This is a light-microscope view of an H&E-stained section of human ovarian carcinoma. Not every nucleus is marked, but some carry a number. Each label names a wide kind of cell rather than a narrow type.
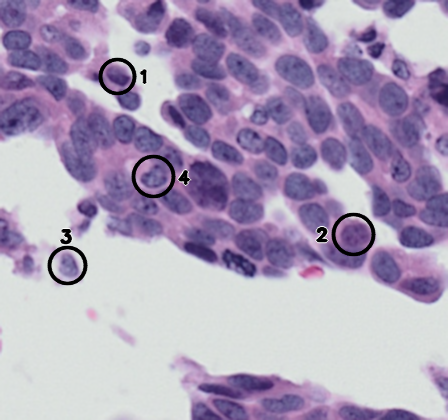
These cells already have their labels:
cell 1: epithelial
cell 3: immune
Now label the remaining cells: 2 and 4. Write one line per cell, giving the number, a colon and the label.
2: epithelial
4: immune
